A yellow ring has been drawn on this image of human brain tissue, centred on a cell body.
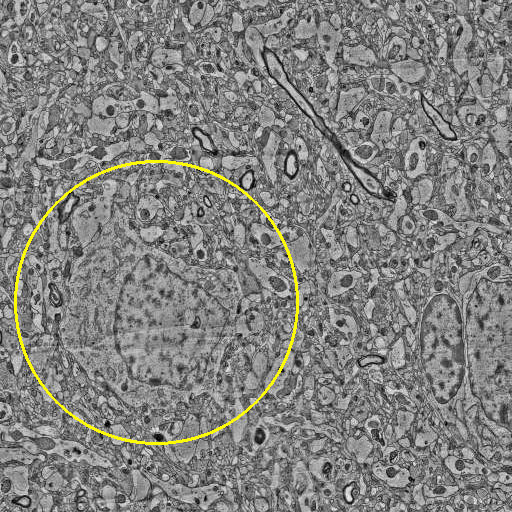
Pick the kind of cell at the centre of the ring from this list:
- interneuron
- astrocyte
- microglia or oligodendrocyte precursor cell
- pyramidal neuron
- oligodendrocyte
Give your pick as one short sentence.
The centre of the ring holds an interneuron.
